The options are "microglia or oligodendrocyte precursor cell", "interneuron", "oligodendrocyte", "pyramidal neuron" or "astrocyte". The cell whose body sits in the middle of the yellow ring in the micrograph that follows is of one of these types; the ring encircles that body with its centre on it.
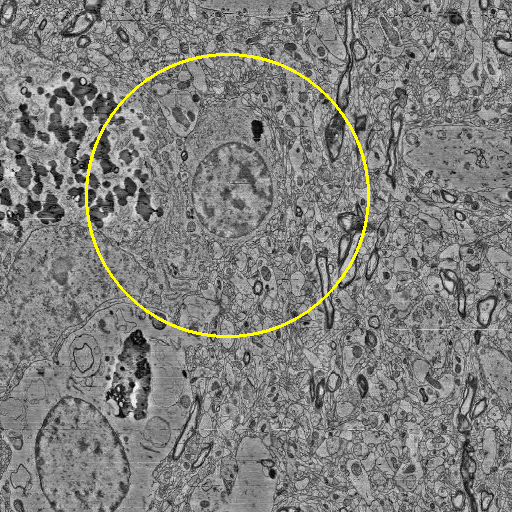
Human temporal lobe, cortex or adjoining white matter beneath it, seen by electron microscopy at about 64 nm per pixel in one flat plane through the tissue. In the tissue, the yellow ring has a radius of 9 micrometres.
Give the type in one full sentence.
Going by the micrograph, the cell centred in the yellow ring is an oligodendrocyte.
